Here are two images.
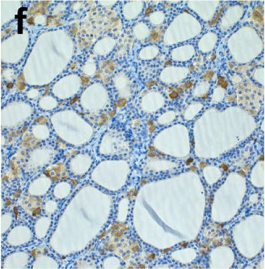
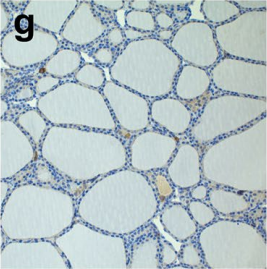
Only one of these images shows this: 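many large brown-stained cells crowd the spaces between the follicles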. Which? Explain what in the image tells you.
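Second image: only a few small brown-stained cells lie between the follicles. First image: numerous brown-stained cells, singly and in groups, fill many interfollicular spaces. The answer: the first image.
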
